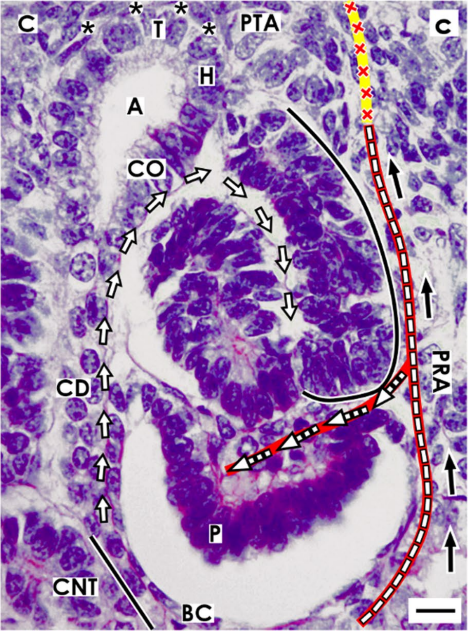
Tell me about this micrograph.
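A late S-shaped body of the developing kidney lies beside a wide collecting duct ampulla, with a developing glomerulus at its lower pole. The S-shaped body is a curved epithelial tube of tall, crowded columnar cells with elongated, darkly stained nuclei. At its bottom, a cup of deep purple, densely packed cells forms the visceral layer of the glomerulus, facing a broad pale space enclosed by a thin, flattened outer epithelial layer. On the left, the ampulla and the collecting duct tubule have a paler, cuboidal epithelium around a wide lumen. Loose pale interstitium with scattered spindle cells lies to the right.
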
